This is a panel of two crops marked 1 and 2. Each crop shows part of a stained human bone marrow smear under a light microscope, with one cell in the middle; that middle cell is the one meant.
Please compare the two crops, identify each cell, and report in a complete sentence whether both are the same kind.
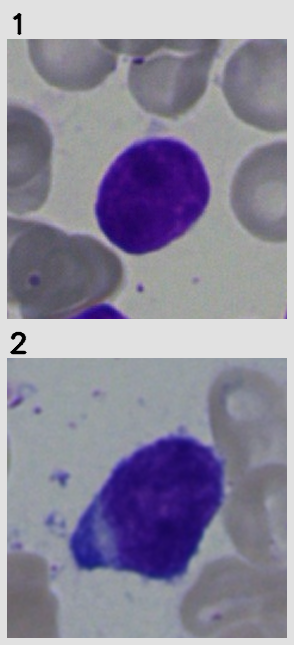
Yes, the same answer goes for both crops, namely lymphocytes.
